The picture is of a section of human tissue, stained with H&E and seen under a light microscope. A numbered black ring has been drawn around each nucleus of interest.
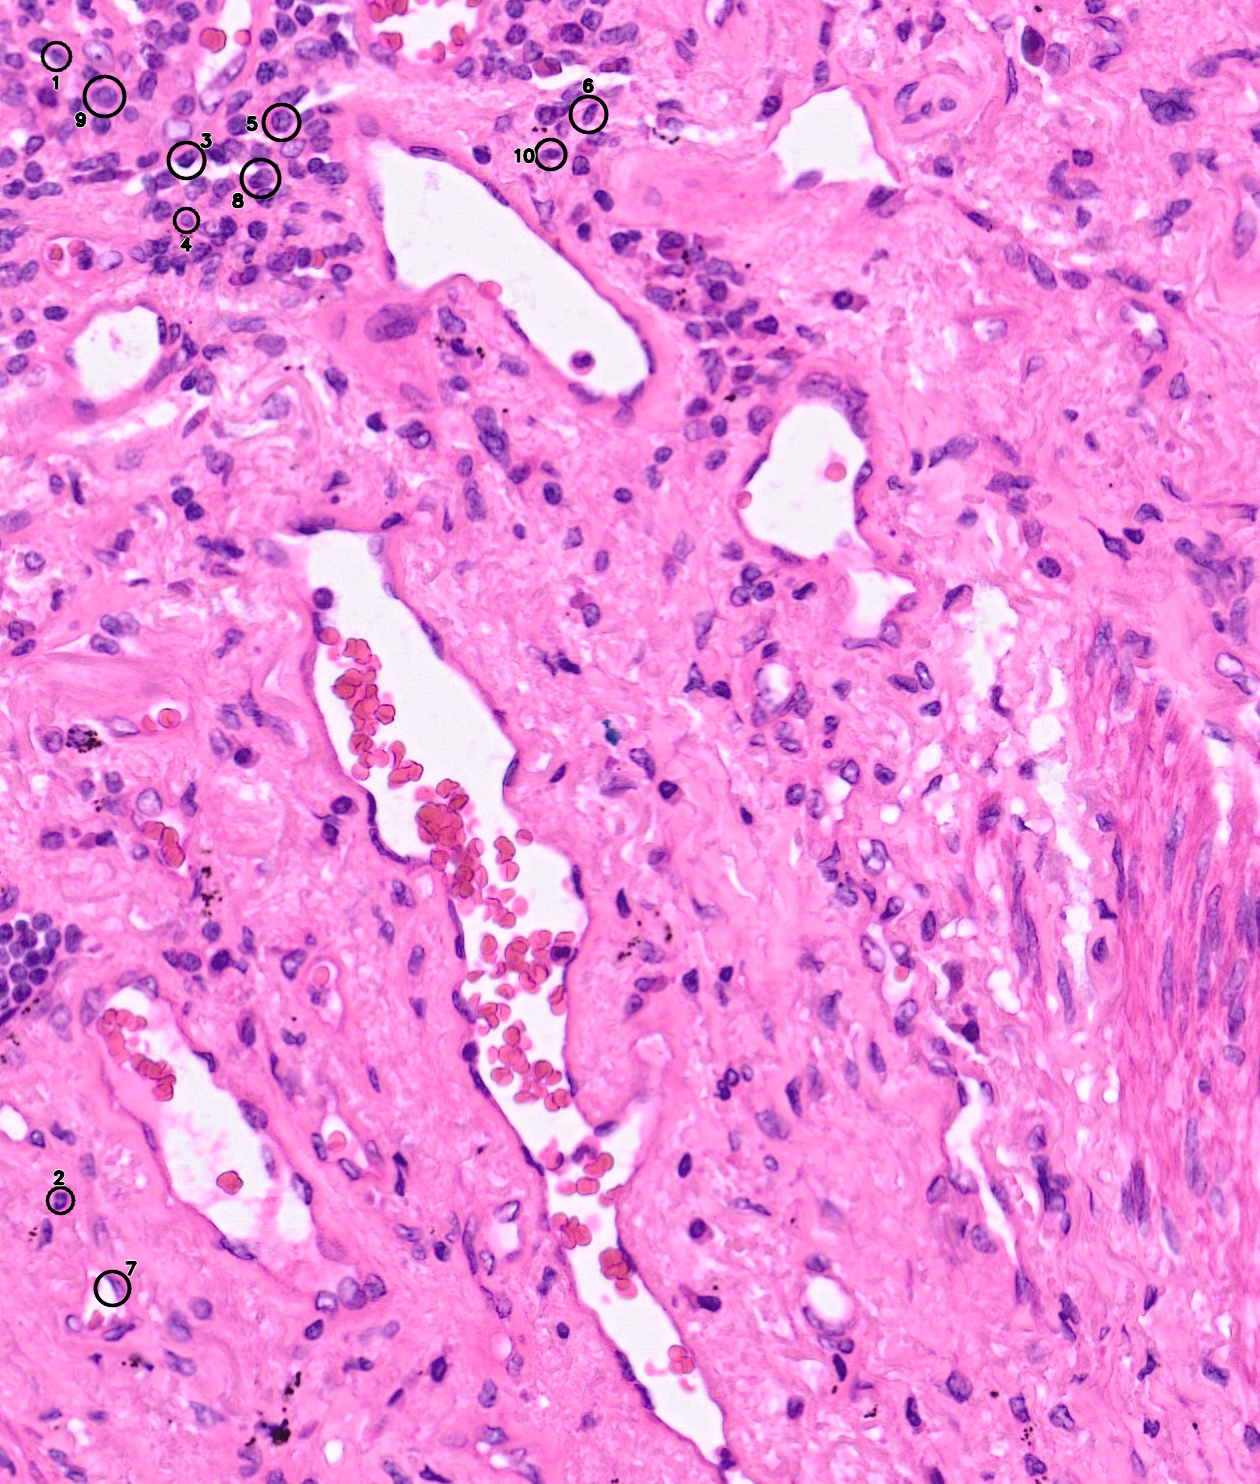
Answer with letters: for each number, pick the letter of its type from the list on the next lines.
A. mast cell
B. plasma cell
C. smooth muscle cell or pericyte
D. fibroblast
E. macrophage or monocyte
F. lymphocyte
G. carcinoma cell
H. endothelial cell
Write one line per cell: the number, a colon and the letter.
1: F
2: A
3: F
4: F
5: A
6: F
7: H
8: F
9: F
10: B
